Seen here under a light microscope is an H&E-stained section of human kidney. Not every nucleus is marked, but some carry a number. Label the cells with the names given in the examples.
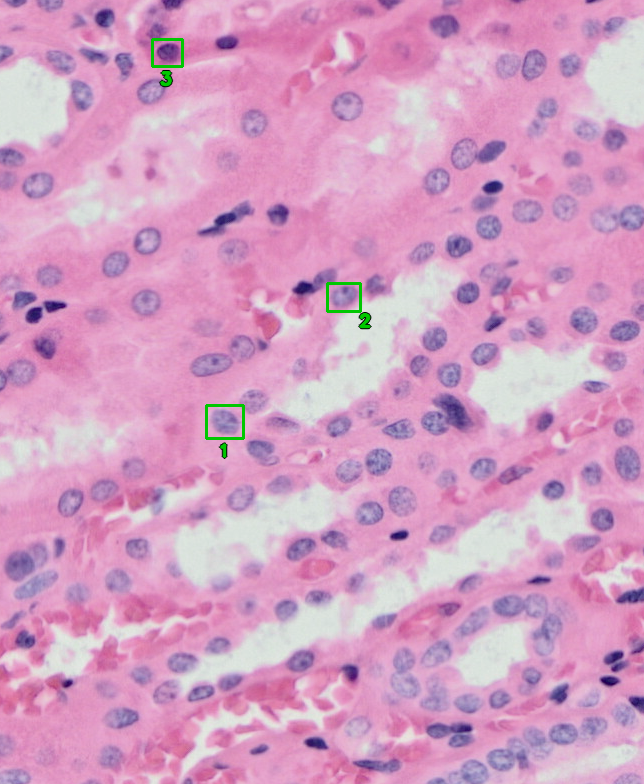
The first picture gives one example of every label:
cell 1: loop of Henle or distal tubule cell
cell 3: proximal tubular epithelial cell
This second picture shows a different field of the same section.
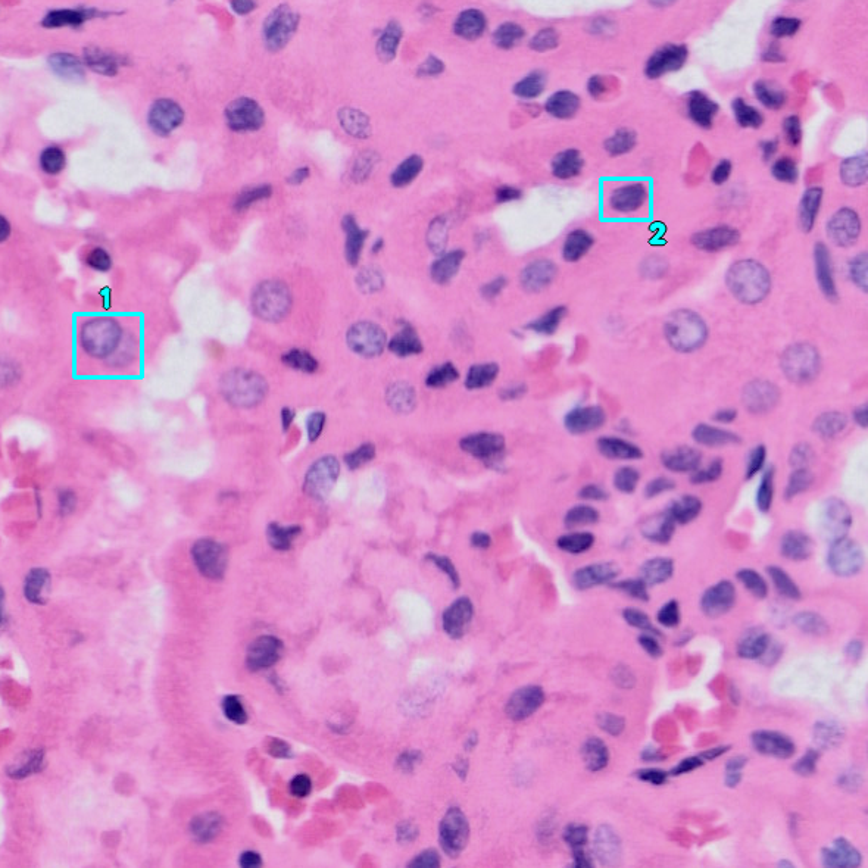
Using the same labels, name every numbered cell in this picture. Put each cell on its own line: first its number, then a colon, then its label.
1: proximal tubular epithelial cell
2: loop of Henle or distal tubule cell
